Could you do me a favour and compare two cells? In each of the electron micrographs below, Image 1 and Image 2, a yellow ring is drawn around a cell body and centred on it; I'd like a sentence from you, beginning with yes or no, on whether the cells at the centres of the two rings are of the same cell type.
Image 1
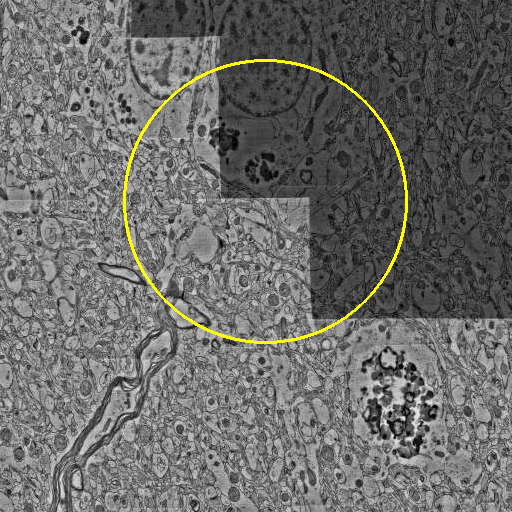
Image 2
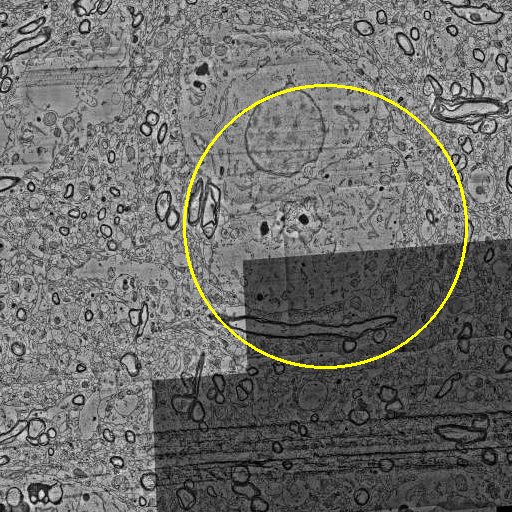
No, the two cells are of two cell types.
